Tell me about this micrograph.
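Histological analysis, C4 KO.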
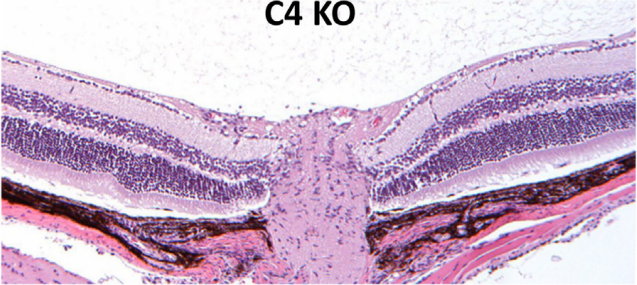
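This is a section of retina through the optic nerve head, which runs as a pale column down the middle. The retina on each side shows a thin innermost row of ganglion cell nuclei, a band of inner nuclear layer nuclei and a thicker, dark purple band of outer nuclear layer nuclei, with pale pink layers between them. Here the layers run fairly smoothly and in parallel across the section. Below the retina is the choroid, darkly pigmented in black-brown, with pink tissue beneath it.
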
